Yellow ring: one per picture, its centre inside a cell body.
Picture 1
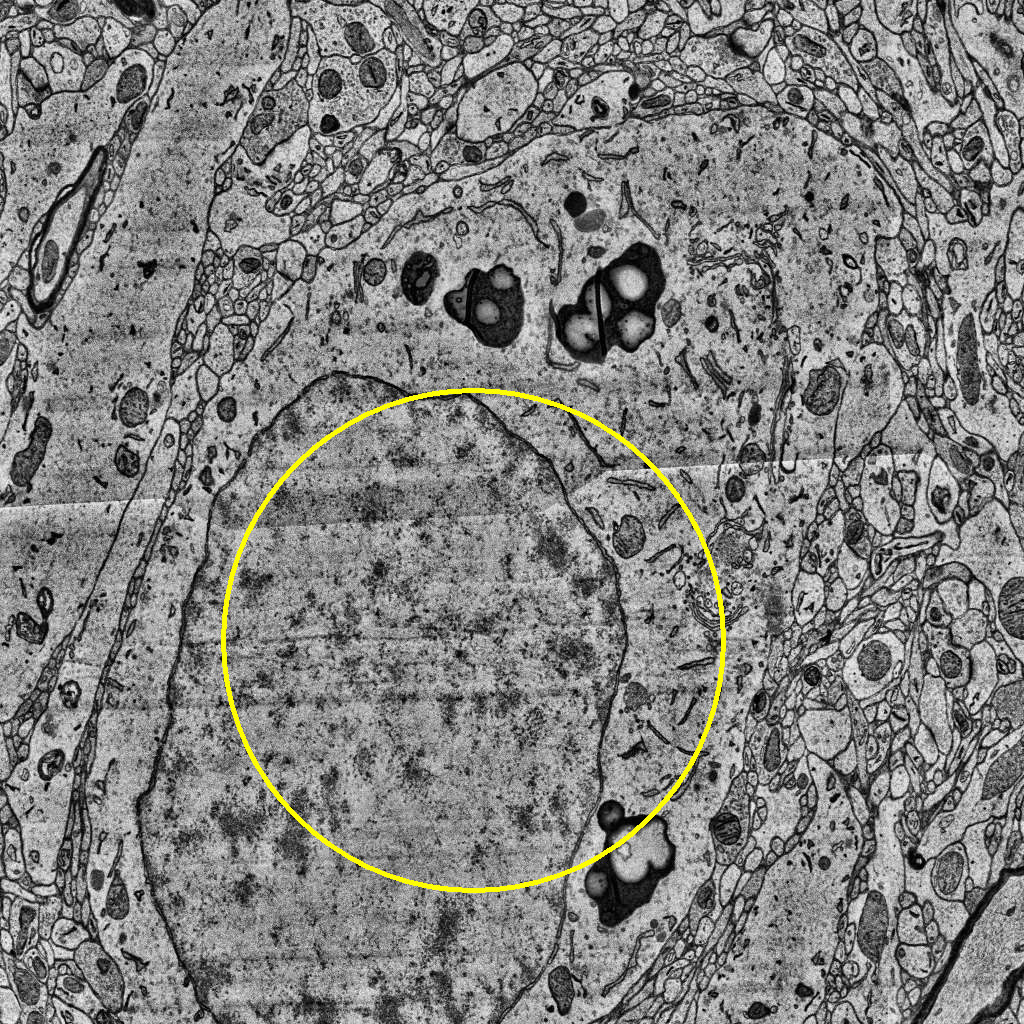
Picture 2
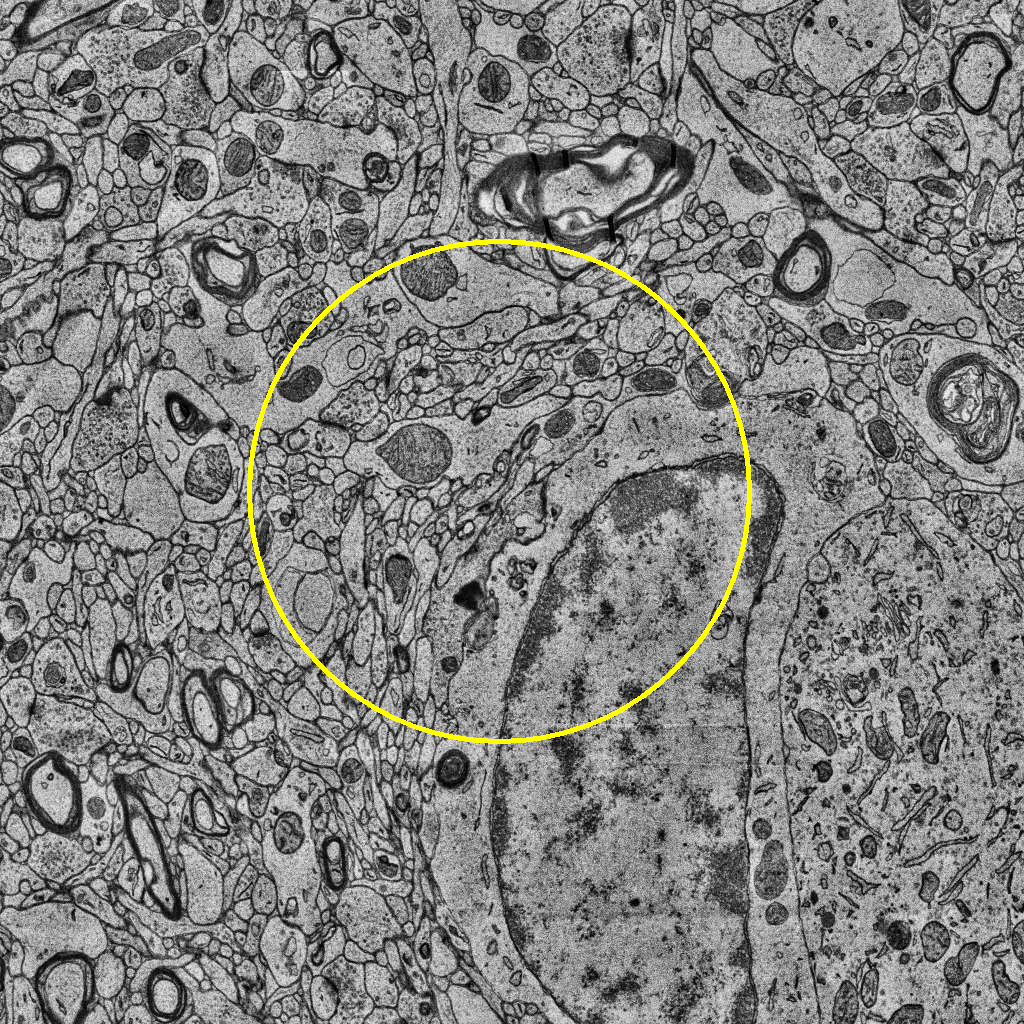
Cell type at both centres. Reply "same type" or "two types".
two types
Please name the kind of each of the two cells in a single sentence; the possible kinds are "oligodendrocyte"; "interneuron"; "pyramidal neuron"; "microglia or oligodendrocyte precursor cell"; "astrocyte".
For the first picture it is a pyramidal neuron; for the second, an oligodendrocyte.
